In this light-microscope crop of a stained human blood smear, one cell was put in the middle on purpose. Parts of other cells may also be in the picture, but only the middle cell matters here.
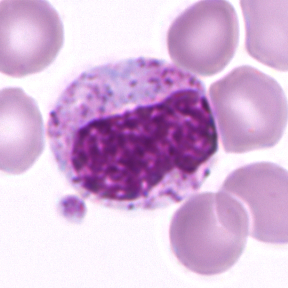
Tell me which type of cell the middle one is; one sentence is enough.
The centrally placed cell is classified as a metamyelocyte.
